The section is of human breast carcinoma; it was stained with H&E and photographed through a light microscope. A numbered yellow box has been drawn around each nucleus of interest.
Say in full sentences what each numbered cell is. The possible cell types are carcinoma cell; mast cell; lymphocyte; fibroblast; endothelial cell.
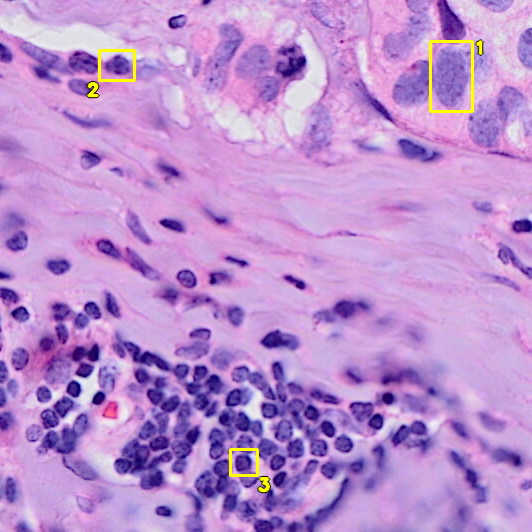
Cell 1 is a carcinoma cell, cell 2 is a lymphocyte and cell 3 is a lymphocyte.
